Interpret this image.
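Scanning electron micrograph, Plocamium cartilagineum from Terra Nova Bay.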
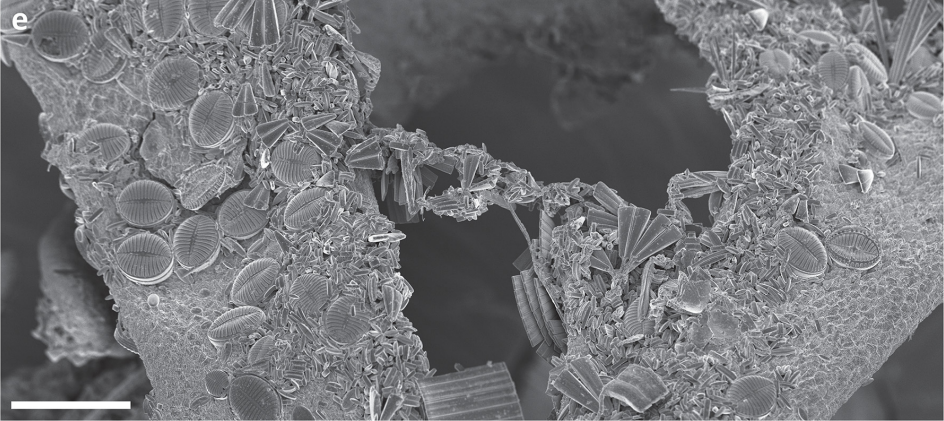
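Two lobes of the thallus are separated by a gap bridged by a thin strand coated with cells. The upper parts of both lobes are crowded with many small elongate cells lying in all directions. Among them lie larger oval to elliptical cells with finely striated walls and a central line, and fan-shaped groups of wedge-shaped cells radiating from a common point. A few rectangular, banded cells lie near the lower edge. The lower surface of the thallus is comparatively bare and finely textured.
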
